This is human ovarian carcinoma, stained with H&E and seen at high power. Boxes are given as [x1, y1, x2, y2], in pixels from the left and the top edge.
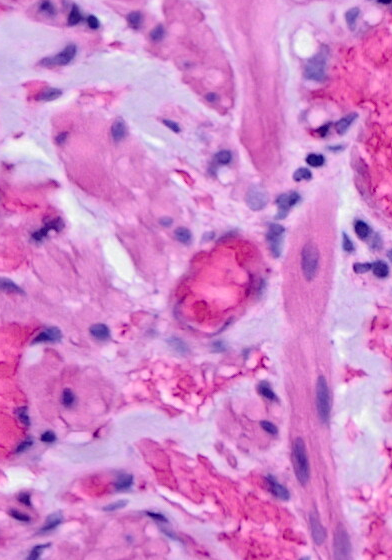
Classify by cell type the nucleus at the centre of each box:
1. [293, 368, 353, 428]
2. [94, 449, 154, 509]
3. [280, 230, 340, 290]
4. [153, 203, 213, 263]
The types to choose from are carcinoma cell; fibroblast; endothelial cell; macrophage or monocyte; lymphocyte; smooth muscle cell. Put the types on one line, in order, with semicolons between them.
smooth muscle cell; endothelial cell; smooth muscle cell; smooth muscle cell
